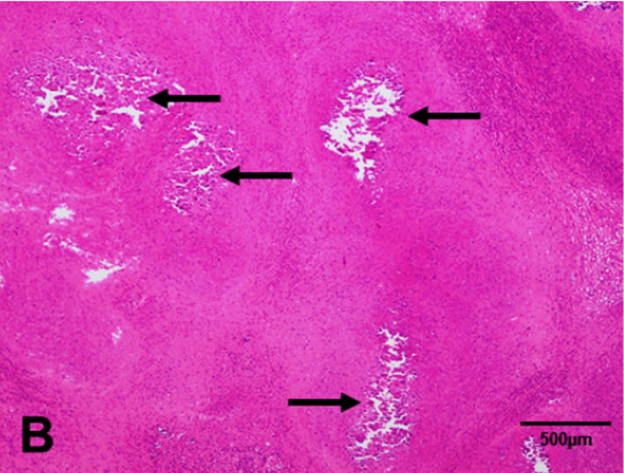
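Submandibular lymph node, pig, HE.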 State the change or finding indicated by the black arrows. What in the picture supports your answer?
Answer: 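Irregular pale foci with cracked, fragmented edges. They lie within pink lesion tissue.
Conclusion: mineralization foci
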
